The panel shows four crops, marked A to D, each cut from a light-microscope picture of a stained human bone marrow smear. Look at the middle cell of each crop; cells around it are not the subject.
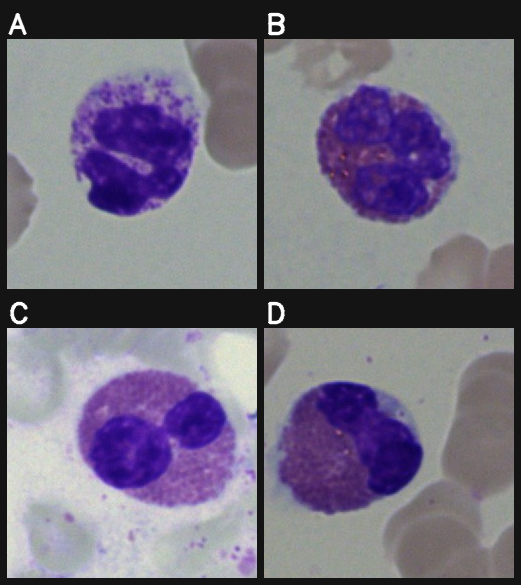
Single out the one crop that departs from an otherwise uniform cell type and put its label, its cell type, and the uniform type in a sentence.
Among the crops, crop A is unique in showing a neutrophil; the others show eosinophils.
